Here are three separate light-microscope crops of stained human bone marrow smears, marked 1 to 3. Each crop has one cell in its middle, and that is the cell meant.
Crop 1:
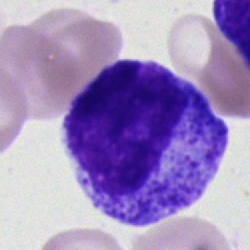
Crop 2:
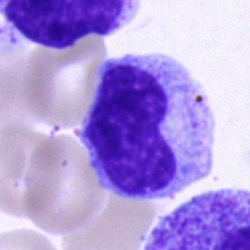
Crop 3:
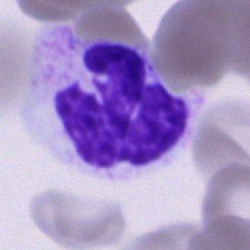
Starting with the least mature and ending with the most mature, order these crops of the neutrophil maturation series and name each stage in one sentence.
Ordered from least to most mature, the cells run crop 1 (a myelocyte), crop 2 (a metamyelocyte) and crop 3 (a segmented neutrophil).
